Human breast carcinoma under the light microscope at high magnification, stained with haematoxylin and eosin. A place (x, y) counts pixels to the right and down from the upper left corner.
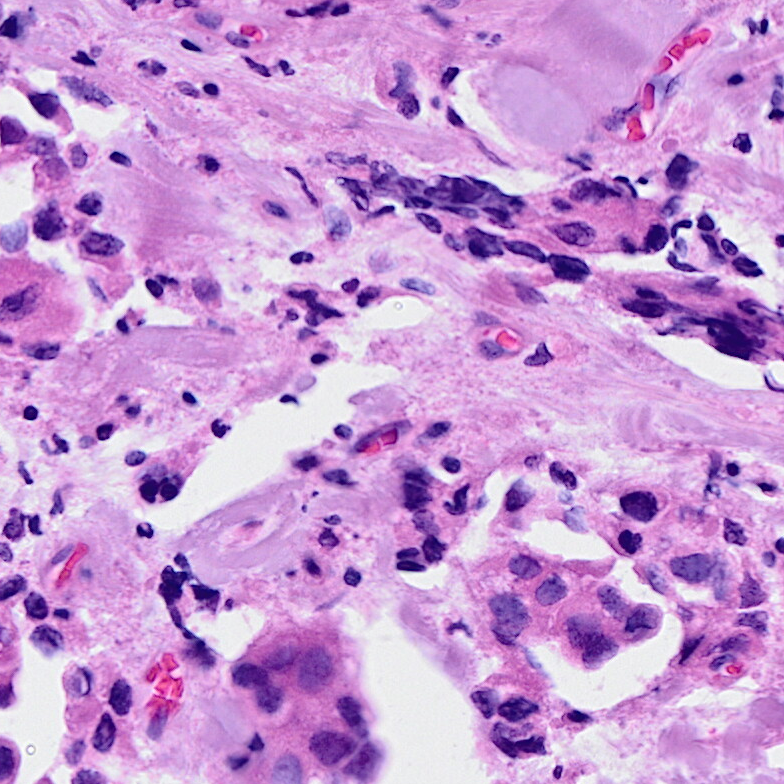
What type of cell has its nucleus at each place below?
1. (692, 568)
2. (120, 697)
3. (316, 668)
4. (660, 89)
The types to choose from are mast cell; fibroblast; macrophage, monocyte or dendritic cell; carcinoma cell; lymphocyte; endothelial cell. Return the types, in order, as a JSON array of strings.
["carcinoma cell", "carcinoma cell", "carcinoma cell", "endothelial cell"]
